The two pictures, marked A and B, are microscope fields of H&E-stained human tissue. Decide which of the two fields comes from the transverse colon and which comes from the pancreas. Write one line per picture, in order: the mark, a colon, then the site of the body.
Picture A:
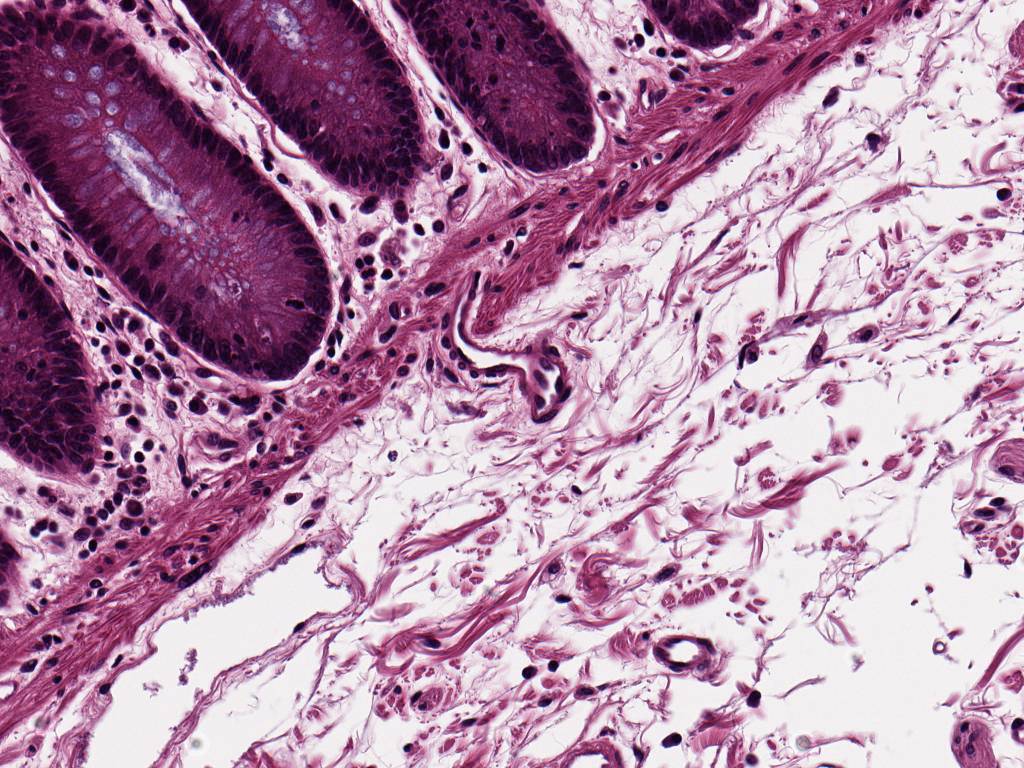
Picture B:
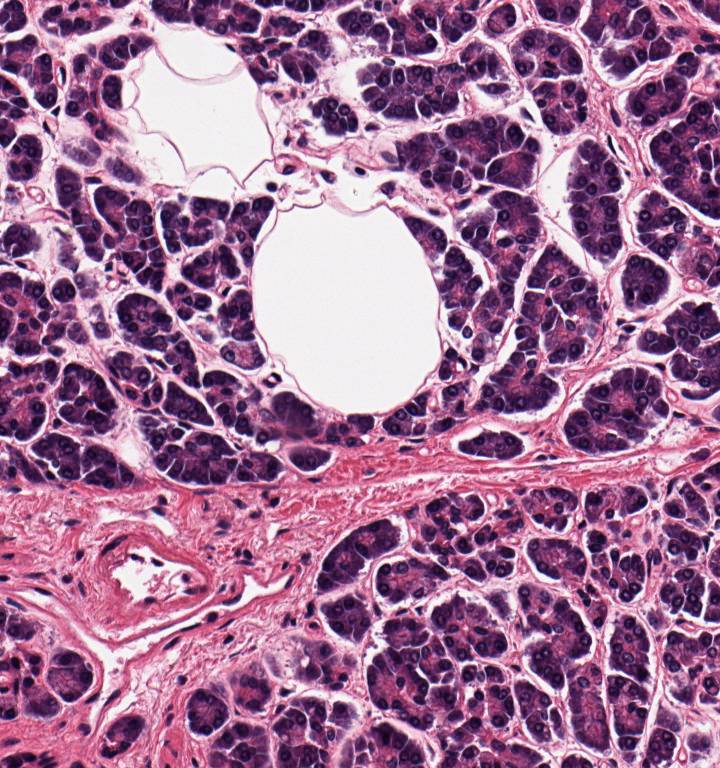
A: transverse colon
B: pancreas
